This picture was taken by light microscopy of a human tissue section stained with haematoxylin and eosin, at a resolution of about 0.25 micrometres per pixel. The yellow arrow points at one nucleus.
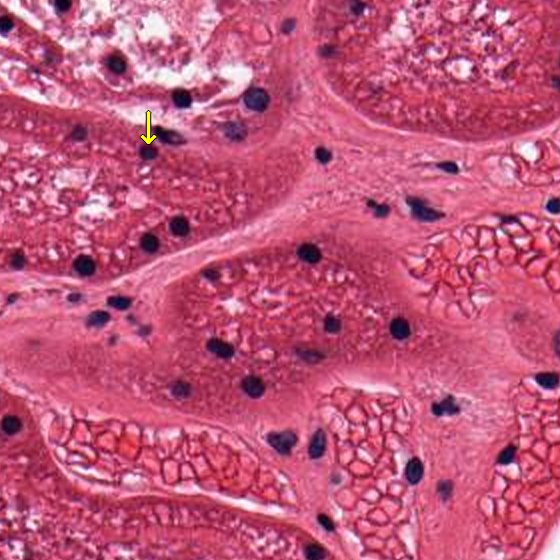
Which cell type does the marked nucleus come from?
proximal tubule cell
